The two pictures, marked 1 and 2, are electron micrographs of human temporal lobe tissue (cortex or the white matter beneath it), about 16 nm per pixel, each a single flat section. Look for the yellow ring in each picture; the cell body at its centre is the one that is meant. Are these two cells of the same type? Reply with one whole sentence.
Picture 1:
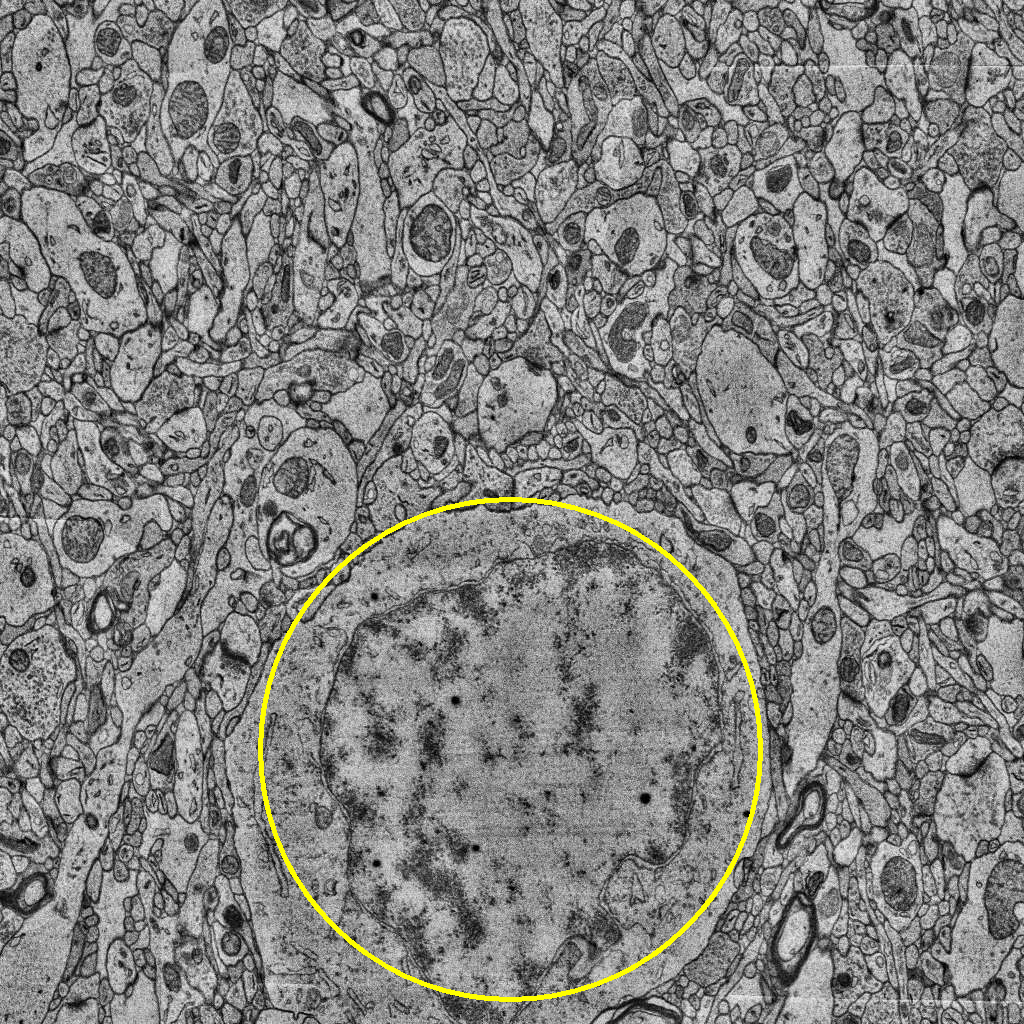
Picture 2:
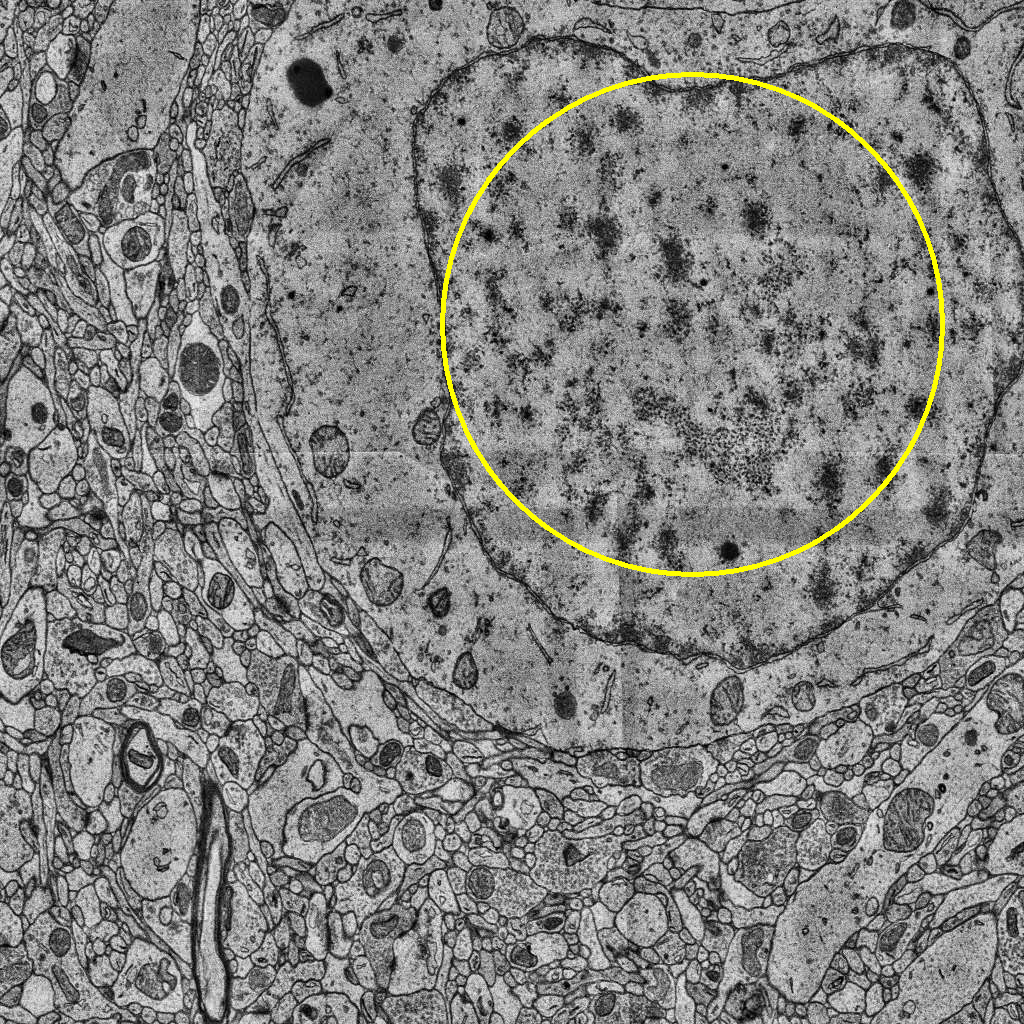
No, picture 1 shows an interneuron and picture 2 shows a pyramidal neuron.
